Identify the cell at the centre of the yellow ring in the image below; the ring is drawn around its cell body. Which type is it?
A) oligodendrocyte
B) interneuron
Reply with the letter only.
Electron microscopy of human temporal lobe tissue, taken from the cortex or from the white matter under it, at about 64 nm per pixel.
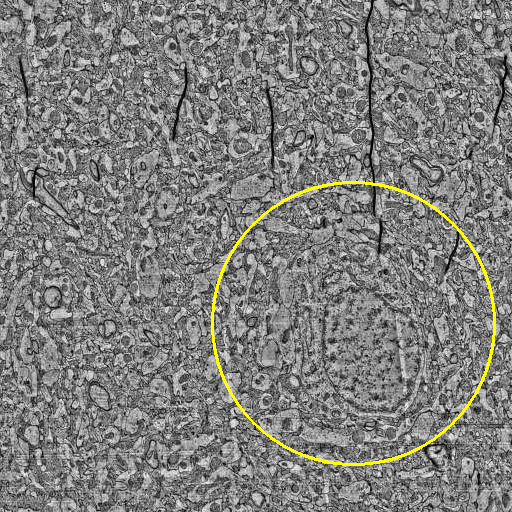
B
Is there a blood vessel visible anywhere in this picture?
No, none shows.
